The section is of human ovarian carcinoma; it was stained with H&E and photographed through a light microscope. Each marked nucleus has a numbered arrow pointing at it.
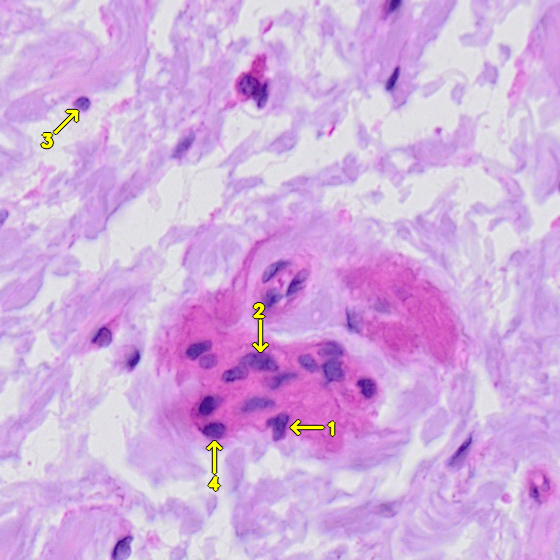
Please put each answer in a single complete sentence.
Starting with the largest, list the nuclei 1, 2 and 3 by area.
By area, largest first, they run 2, 1, 3.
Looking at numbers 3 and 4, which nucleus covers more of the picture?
Nucleus 4 is the larger one, covering about 2 times the area of nucleus 3.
